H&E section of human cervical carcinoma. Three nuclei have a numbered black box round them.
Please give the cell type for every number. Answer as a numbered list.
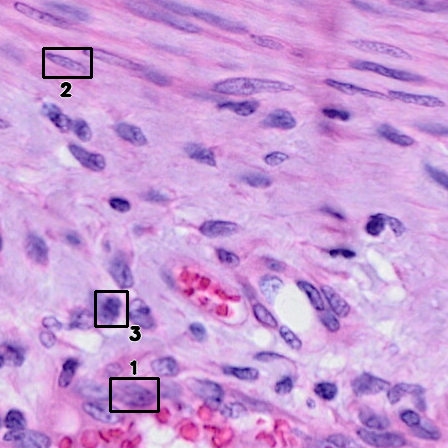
1. endothelial cell
2. smooth muscle cell
3. lymphocyte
